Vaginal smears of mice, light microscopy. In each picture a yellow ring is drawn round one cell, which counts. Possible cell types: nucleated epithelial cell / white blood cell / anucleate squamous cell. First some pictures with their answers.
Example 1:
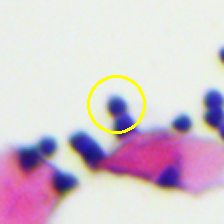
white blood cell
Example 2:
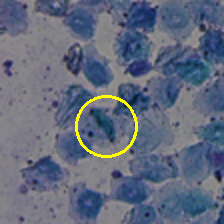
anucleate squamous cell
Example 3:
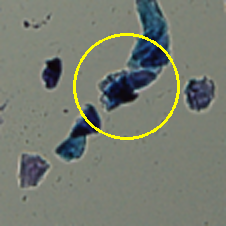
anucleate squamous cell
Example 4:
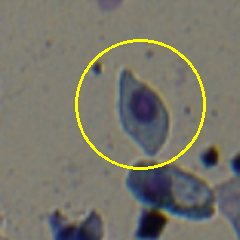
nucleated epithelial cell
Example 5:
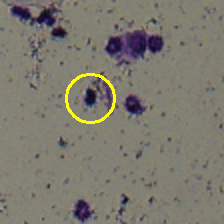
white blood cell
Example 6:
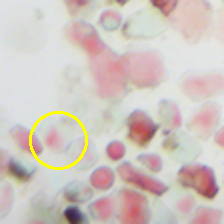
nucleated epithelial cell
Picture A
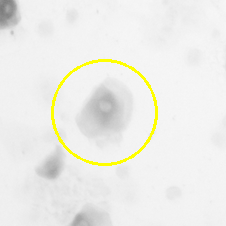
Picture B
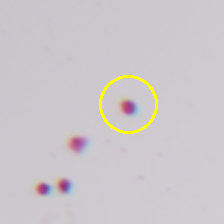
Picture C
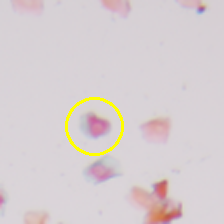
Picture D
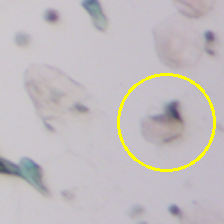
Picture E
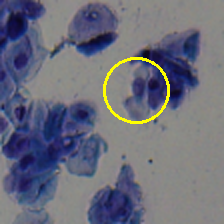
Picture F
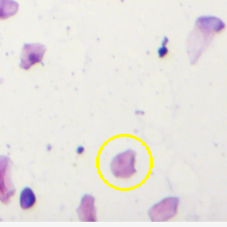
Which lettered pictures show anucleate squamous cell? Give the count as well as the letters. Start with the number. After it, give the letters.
2, namely D, F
